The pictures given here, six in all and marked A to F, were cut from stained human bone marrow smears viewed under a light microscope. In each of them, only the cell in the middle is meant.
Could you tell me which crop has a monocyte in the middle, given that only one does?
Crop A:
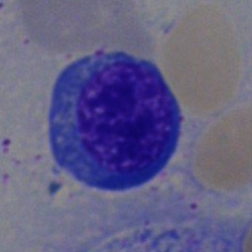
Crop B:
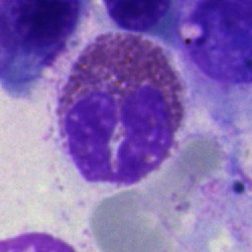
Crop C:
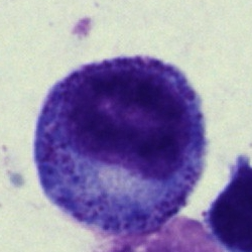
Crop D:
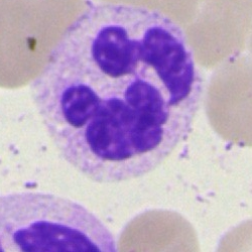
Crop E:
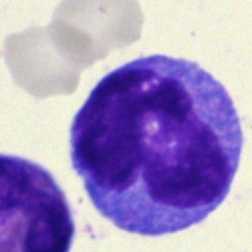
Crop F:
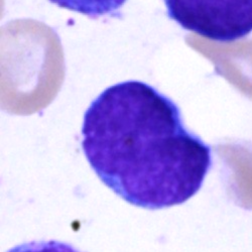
E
